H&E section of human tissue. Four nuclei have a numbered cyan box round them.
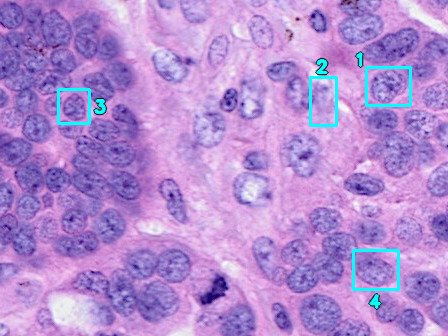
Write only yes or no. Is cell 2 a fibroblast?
yes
